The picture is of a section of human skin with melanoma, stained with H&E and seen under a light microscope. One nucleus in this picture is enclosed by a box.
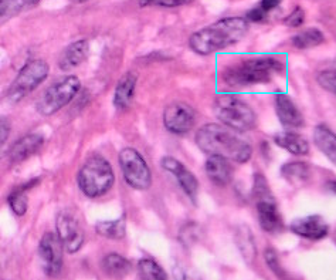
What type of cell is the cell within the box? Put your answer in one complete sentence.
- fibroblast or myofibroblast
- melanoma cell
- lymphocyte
By cell type, the cell within the box is a melanoma cell.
